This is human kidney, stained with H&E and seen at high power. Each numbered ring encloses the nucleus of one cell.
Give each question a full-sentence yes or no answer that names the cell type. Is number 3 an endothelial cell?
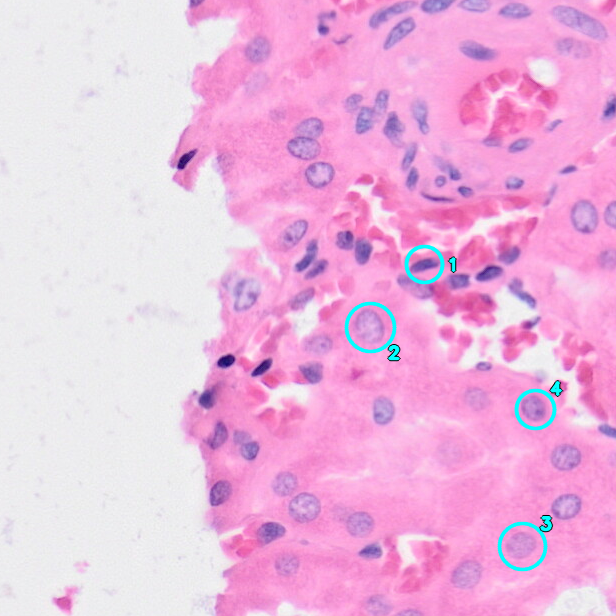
No, instead of an endothelial cell, the cell with number 3 is a proximal tubule cell.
